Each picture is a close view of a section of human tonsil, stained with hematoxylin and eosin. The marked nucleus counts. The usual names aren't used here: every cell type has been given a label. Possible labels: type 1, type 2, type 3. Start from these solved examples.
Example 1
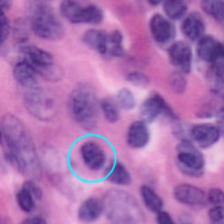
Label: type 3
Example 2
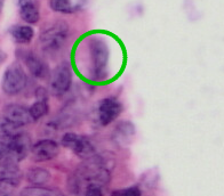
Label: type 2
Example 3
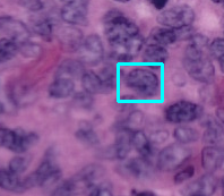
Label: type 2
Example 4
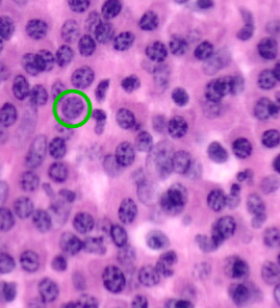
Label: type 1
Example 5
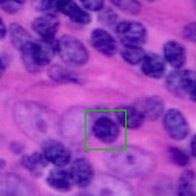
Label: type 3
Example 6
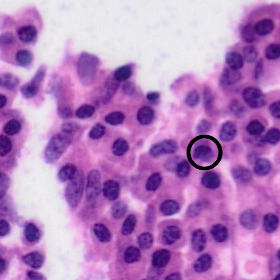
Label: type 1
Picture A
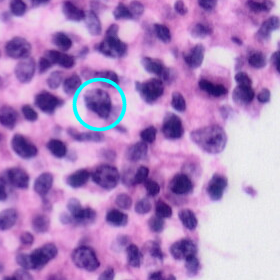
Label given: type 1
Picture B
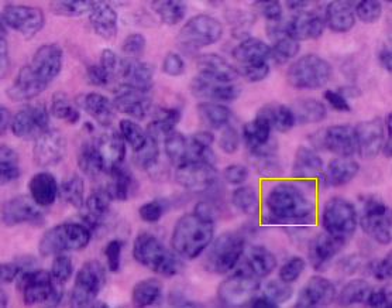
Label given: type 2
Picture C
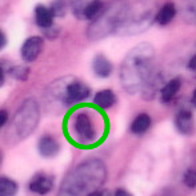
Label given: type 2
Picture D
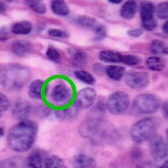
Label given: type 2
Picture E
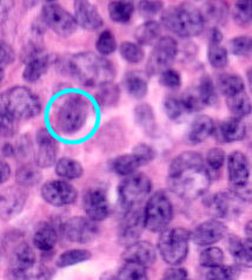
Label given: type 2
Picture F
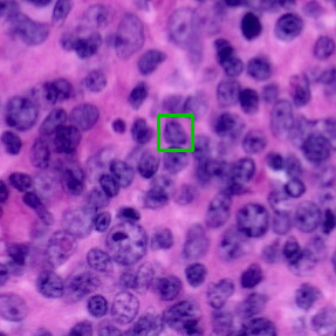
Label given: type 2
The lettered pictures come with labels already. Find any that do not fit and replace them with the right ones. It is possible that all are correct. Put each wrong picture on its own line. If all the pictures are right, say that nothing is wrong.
A: change type 1 to type 2
C: change type 2 to type 3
